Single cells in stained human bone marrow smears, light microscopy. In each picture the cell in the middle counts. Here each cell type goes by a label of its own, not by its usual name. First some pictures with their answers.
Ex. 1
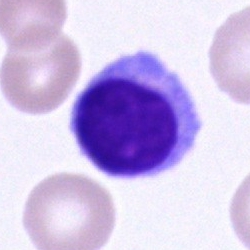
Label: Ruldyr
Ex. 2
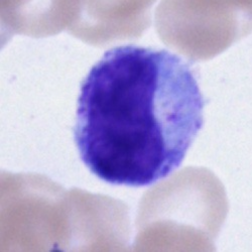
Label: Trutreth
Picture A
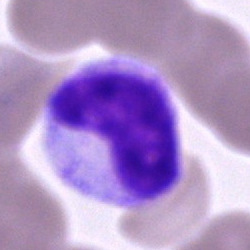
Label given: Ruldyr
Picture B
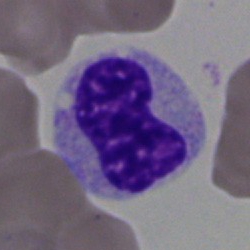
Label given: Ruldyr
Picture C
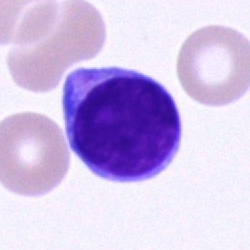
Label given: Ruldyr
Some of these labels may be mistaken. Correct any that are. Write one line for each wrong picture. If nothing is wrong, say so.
A should be Trutreth, not Ruldyr
B should be Trutreth, not Ruldyr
